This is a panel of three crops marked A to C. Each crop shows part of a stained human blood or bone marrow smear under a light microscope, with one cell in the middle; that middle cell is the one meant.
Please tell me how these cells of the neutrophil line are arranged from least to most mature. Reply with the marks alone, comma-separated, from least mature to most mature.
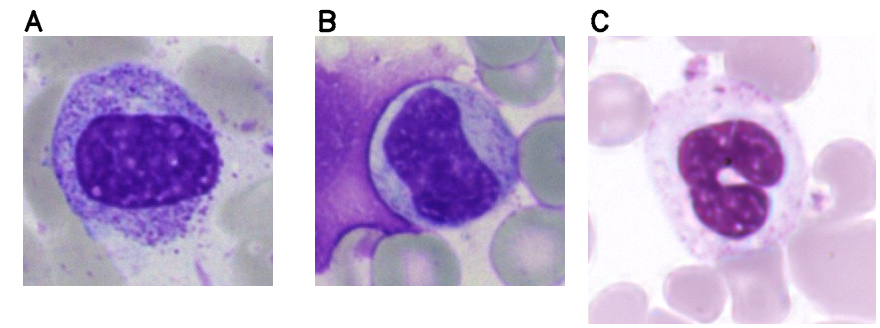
A, B, C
